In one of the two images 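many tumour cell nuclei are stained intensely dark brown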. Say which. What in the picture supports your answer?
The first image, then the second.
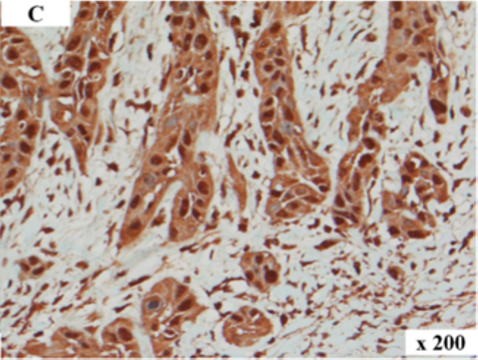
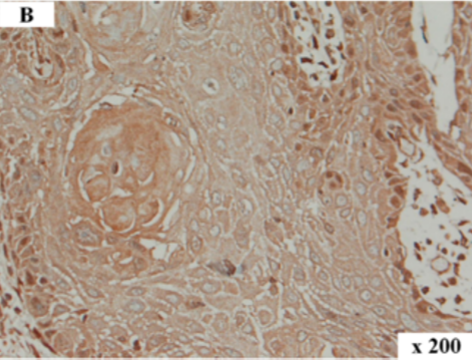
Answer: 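Second image: most nuclei appear pale with light brown cytoplasm; few dark brown nuclei. First image: numerous tumour cell nuclei are intensely dark brown. On this evidence: the first image.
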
